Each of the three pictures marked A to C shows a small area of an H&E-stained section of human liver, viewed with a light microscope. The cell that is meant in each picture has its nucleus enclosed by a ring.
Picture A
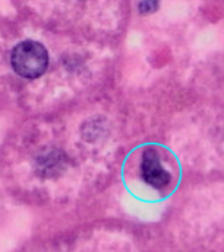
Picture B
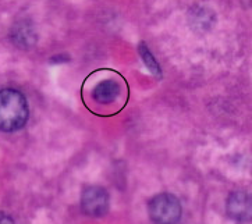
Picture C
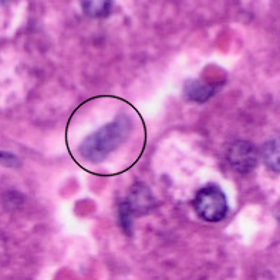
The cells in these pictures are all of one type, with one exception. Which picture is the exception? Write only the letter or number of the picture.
B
